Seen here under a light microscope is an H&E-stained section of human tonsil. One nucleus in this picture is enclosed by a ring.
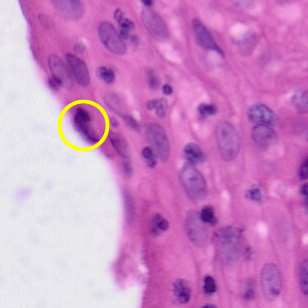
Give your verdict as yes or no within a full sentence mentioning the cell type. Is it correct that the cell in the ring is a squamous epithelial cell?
Yes, it is a squamous epithelial cell that the cell in the ring is.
